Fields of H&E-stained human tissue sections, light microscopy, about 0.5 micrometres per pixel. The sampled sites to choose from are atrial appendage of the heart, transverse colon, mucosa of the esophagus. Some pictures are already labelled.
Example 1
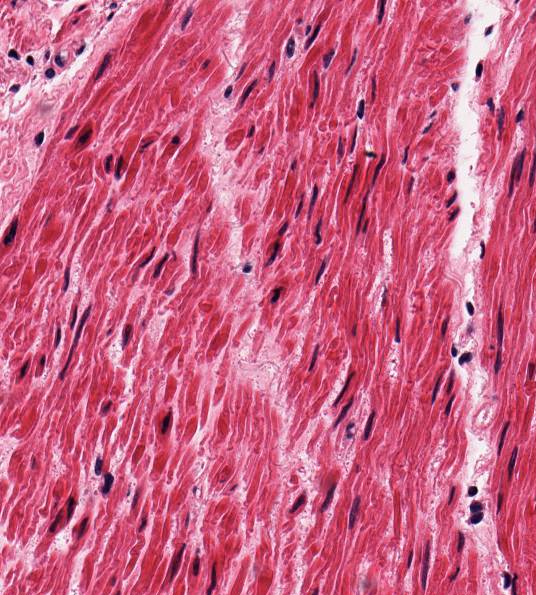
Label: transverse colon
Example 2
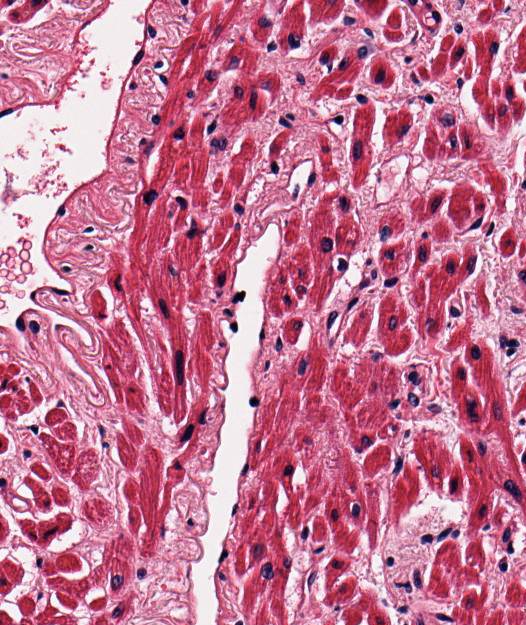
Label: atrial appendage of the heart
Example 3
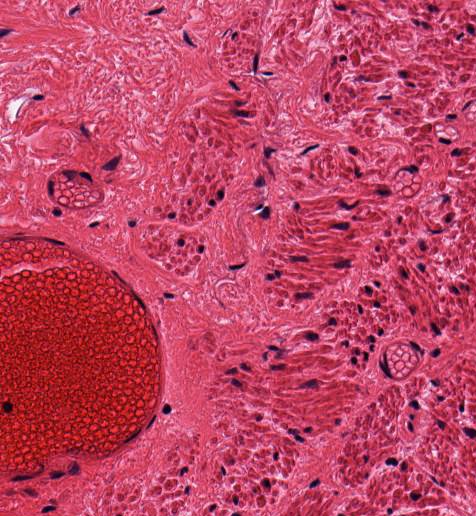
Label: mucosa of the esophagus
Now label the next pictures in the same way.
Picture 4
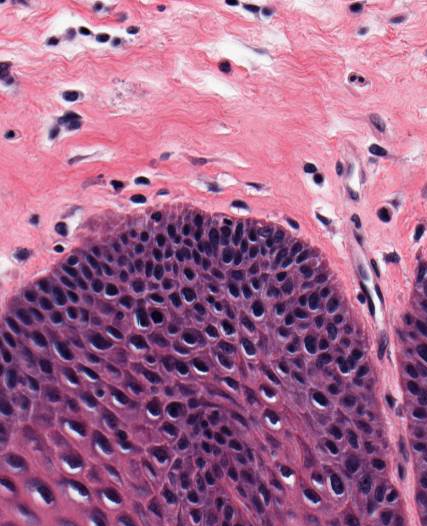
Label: mucosa of the esophagus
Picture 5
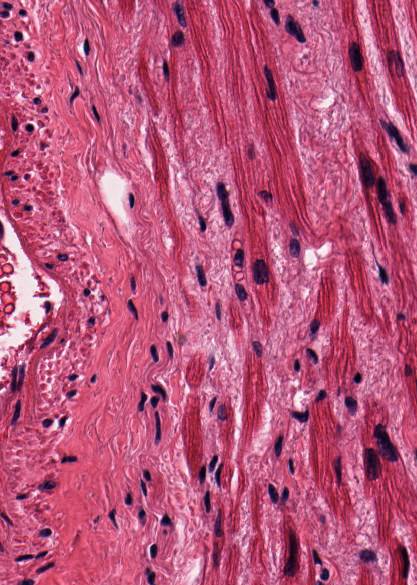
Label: atrial appendage of the heart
